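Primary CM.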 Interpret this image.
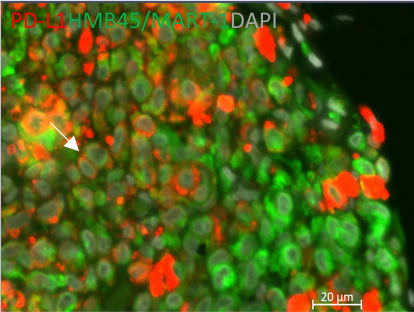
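This is a dense sheet of melanoma cells seen in fluorescence. The cells are closely packed, rounded to polygonal, each with a large oval grey nucleus surrounded by a ring of green cytoplasm and membrane. Red outlines trace the membranes of many of these tumour cells, overlapping the green rim, so some cells appear orange-yellow. Scattered among them are larger, bright, solid red cells or clumps. Toward the right edge the tissue ends at a border where a few flatter grey nuclei without green lie outside the sheet. There is little stroma between the cells.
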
